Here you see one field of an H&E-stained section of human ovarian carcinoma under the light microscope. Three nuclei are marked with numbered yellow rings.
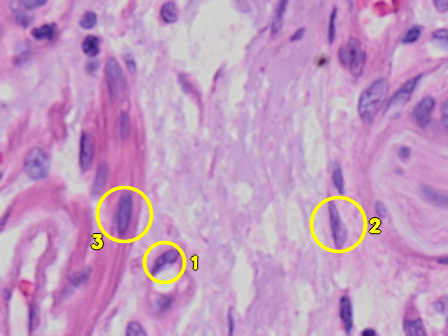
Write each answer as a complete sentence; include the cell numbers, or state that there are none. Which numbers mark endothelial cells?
Of all the numbered cells, only cell 1 is an endothelial cell.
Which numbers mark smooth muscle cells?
Only the cell at mark 3 is a smooth muscle cell, and no other marked cell is.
